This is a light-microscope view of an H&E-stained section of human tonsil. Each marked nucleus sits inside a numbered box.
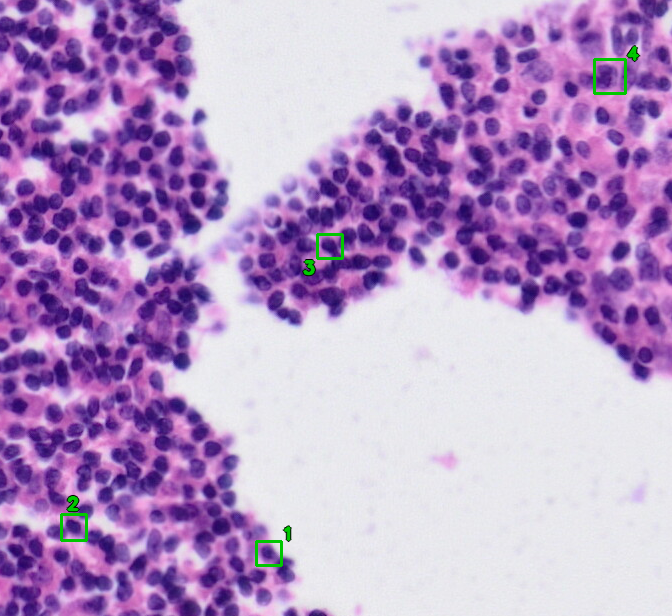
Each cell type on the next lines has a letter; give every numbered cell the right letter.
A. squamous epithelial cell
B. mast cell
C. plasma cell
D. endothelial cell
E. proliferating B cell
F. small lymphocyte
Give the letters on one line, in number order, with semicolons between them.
F; F; F; E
